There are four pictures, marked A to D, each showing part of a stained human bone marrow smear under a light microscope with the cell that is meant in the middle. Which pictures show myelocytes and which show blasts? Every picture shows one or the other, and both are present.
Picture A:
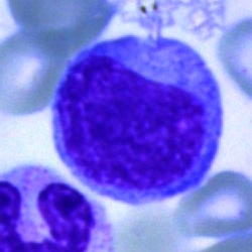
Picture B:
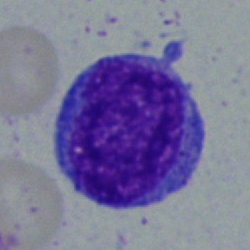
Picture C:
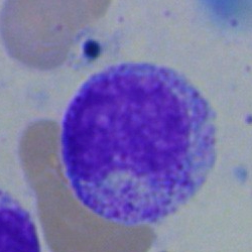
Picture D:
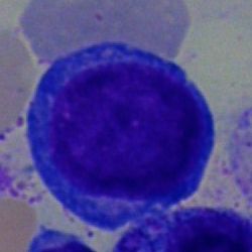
A: blast
B: blast
C: myelocyte
D: blast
